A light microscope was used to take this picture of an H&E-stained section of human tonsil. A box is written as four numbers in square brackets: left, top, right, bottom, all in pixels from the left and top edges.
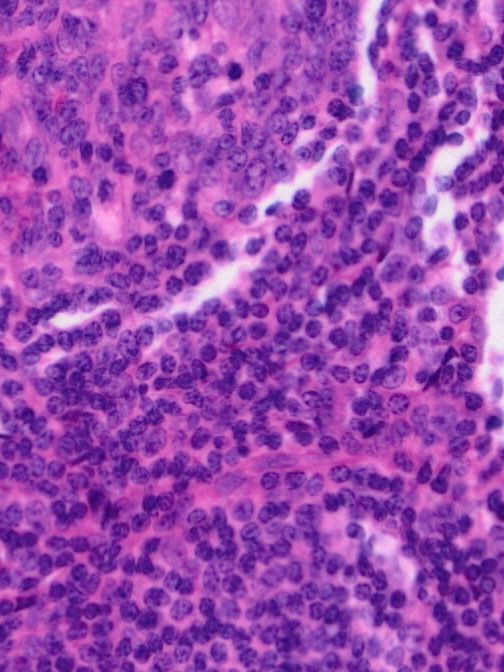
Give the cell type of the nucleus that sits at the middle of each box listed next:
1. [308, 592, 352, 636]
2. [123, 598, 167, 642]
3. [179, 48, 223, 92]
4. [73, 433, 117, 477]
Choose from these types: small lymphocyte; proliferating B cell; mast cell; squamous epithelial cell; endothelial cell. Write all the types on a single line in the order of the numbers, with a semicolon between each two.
small lymphocyte; small lymphocyte; proliferating B cell; small lymphocyte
